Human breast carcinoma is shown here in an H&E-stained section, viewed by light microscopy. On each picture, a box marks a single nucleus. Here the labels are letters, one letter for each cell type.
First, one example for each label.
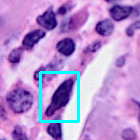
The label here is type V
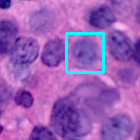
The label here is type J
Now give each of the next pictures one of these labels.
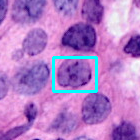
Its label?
type J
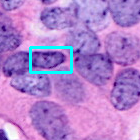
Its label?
type J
